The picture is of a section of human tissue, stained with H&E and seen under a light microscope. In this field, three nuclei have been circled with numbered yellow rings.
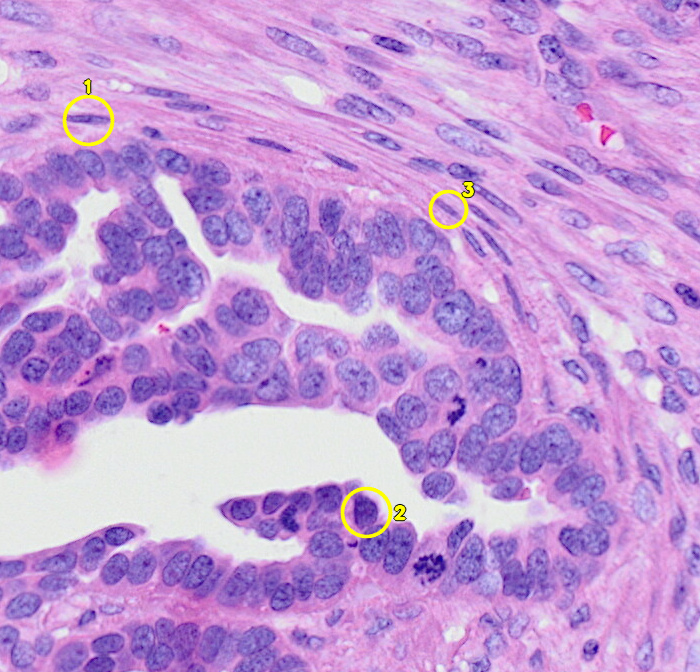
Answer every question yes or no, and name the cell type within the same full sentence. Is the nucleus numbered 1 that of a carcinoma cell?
No, rather than a carcinoma cell, cell number 1 is a fibroblast.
